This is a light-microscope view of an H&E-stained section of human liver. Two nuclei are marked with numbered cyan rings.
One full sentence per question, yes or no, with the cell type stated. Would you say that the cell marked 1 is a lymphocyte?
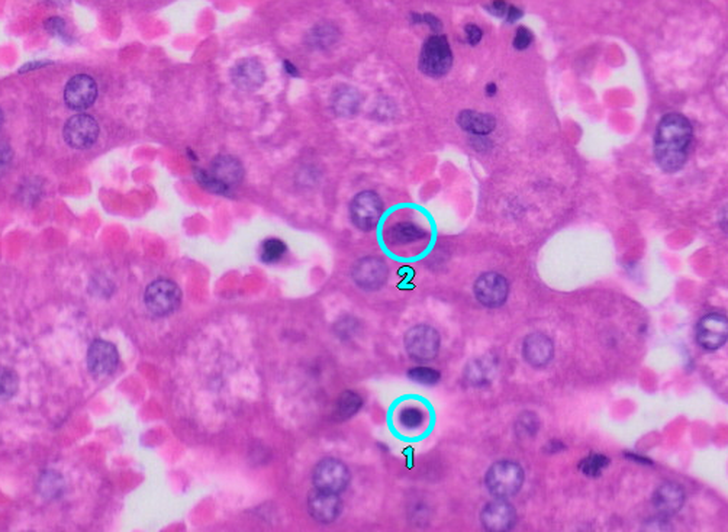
Yes, the cell identified by number 1 is a lymphocyte.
